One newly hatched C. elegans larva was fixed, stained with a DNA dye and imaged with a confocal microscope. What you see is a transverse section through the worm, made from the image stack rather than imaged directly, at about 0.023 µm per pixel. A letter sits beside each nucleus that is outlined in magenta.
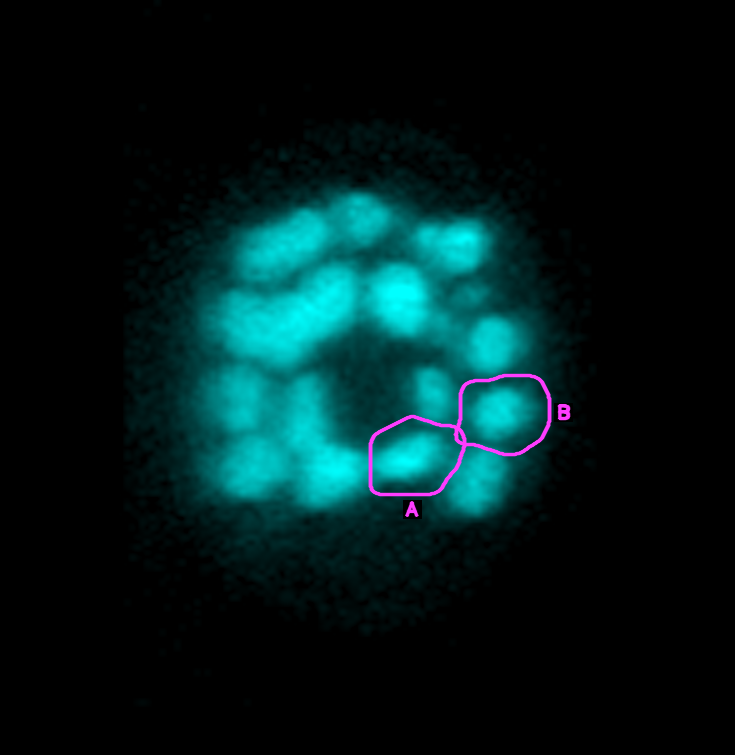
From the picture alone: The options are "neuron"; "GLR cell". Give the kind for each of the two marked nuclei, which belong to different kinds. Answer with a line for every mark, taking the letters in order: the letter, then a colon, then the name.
A: GLR cell
B: neuron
